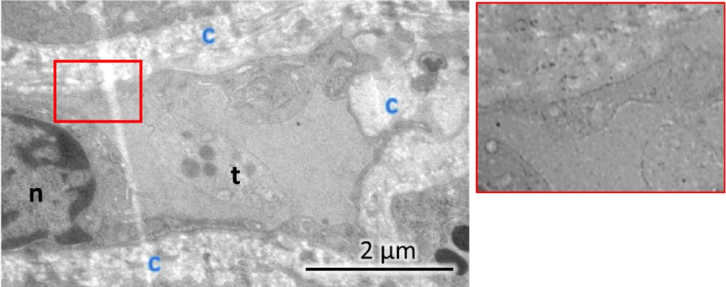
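A vessel is cut across, with an endothelial cell wall enclosing a grey lumen in which a small cell fragment with several round dense granules lies, a thrombocyte. At the left sits a large oval nucleus with granular chromatin. Pale fibrillar collagen surrounds the vessel on several sides. The red frame outlines a stretch of the vessel wall, and in the enlarged close-up this wall appears continuous, without pores. This is a vessel lacking fenestrations.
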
